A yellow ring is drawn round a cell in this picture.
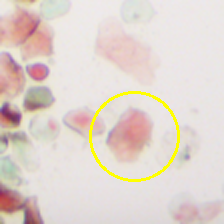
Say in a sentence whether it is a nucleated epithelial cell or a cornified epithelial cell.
The cell in the ring is a cornified epithelial cell.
